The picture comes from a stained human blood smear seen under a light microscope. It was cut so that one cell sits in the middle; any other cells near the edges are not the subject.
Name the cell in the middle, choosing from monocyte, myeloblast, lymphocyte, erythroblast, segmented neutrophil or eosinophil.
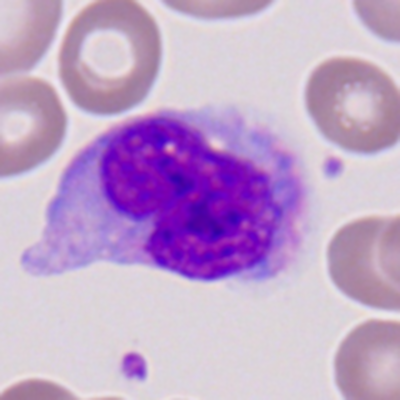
monocyte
